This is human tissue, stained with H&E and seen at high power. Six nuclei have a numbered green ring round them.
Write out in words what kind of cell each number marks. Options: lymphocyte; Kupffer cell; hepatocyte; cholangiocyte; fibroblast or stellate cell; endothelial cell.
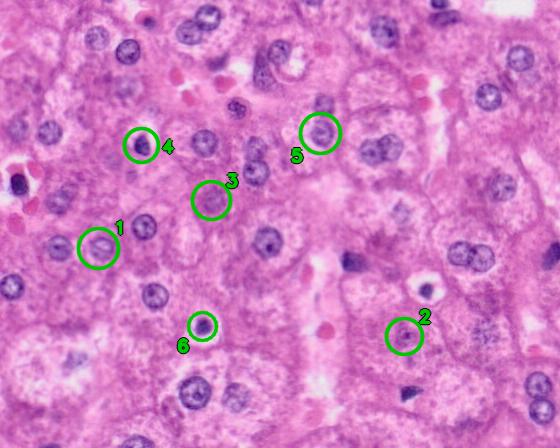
Cells 1, 2, 3 and 5 are hepatocytes. Cells 4 and 6 are lymphocytes.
